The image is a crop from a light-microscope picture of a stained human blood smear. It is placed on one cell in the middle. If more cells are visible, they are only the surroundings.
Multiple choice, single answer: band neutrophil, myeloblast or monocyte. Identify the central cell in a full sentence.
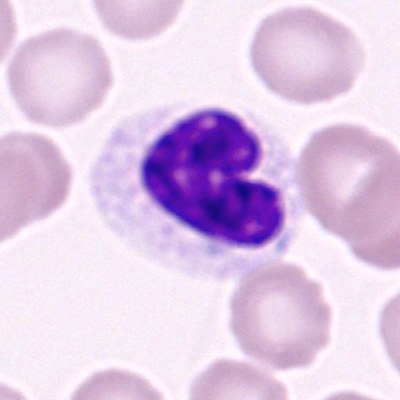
This crop's central cell is a band neutrophil.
